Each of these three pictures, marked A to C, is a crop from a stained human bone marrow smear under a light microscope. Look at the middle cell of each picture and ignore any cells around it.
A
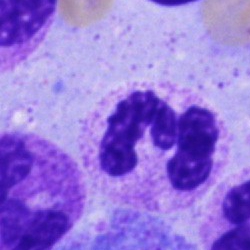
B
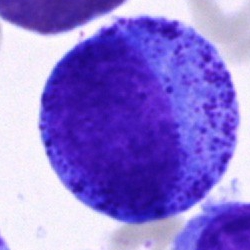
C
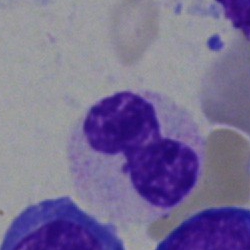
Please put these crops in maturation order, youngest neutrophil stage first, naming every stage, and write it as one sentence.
Listed in order of increasing maturity, the crops are crop B (a promyelocyte), crop C (a band neutrophil) and crop A (a segmented neutrophil).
